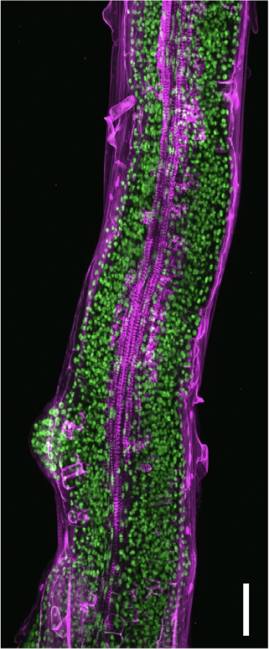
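Many small cells crowd its body, each marked by a green nucleus, and magenta outlines the cells and the surface, where some outer cells bulge outward. Down the middle runs a magenta strand with a banded, ladder-like pattern, and a small rounded cluster of cells sits at one side near the bottom.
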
